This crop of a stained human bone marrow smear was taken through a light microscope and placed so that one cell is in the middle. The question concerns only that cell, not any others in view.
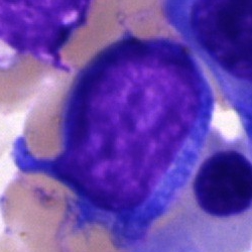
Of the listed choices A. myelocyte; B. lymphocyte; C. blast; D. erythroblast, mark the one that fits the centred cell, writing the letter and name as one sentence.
Since the cell in the middle is a blast, option C is correct.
